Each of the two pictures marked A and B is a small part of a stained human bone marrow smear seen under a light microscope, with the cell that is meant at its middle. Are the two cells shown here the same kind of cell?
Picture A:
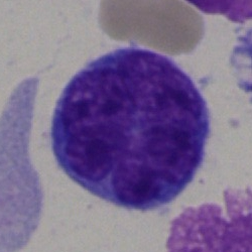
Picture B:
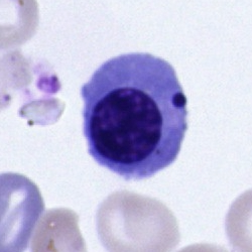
no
